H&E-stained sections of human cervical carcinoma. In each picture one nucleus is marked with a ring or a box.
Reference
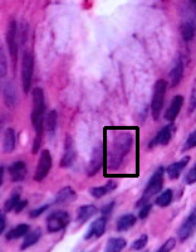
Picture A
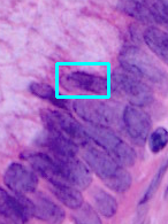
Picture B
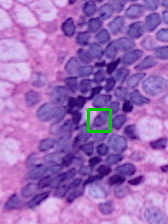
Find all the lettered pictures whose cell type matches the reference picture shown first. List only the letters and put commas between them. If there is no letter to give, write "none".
A, B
